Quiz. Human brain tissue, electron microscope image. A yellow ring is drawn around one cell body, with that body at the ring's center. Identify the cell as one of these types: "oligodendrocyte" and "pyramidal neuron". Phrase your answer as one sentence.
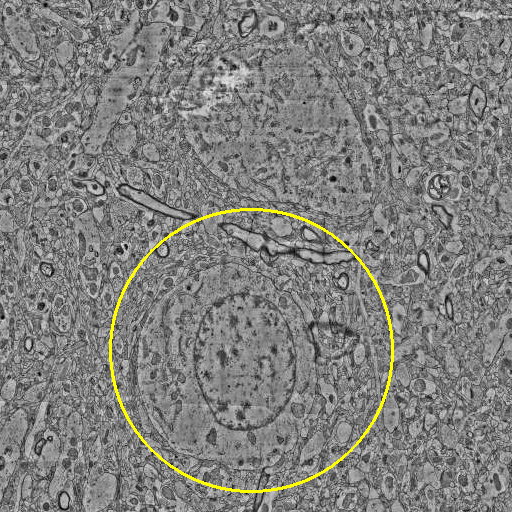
At the center of the ring sits a pyramidal neuron.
